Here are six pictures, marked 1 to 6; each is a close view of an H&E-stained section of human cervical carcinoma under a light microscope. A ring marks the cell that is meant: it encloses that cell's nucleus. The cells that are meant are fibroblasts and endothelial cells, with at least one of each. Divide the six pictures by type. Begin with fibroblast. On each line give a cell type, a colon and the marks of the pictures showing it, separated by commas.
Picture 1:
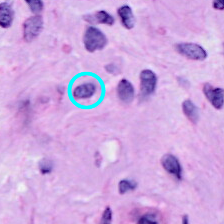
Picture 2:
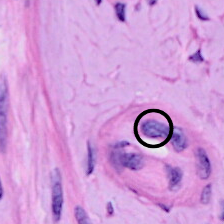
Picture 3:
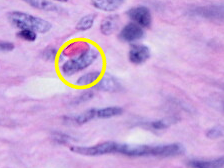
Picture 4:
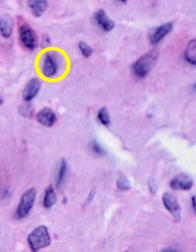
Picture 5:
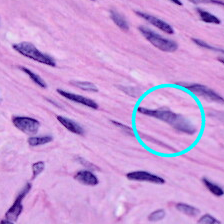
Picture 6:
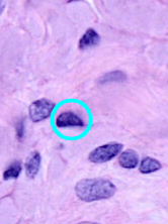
fibroblast: 1, 4, 5, 6
endothelial cell: 2, 3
